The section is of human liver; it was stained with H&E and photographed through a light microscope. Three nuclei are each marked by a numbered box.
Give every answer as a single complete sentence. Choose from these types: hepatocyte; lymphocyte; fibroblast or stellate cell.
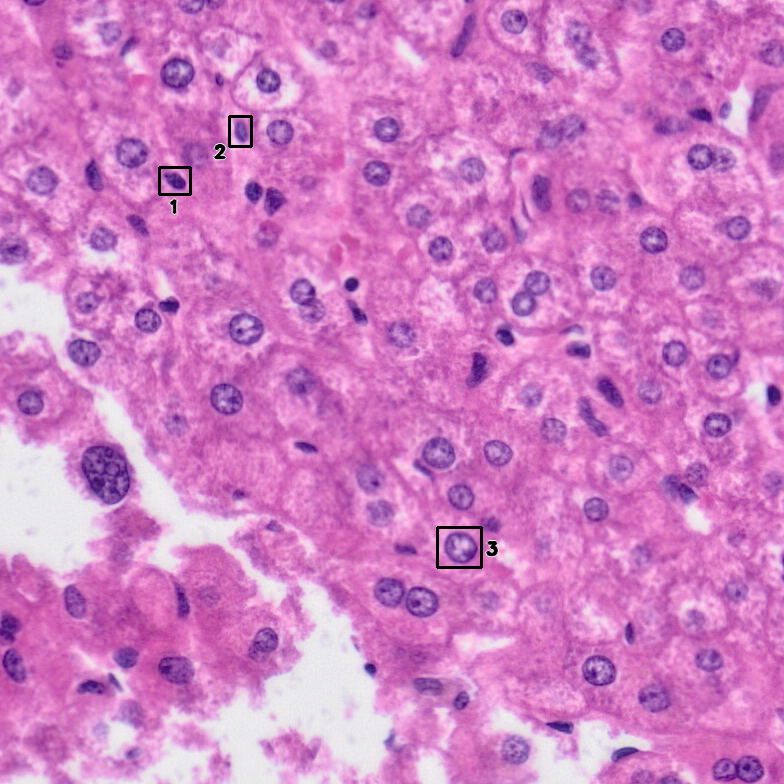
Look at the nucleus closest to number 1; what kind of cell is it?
Closest to number 1 lies the nucleus of a hepatocyte.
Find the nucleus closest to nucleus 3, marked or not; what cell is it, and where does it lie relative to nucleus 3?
The closest nucleus belongs to a fibroblast or stellate cell and sits above and to the right of nucleus 3.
